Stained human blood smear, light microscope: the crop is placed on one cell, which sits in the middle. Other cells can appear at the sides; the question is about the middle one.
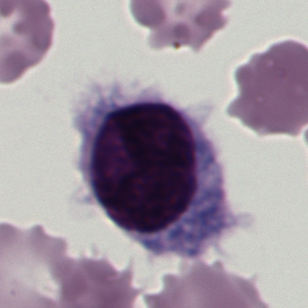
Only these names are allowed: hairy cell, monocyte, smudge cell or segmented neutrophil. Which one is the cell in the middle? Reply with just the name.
hairy cell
